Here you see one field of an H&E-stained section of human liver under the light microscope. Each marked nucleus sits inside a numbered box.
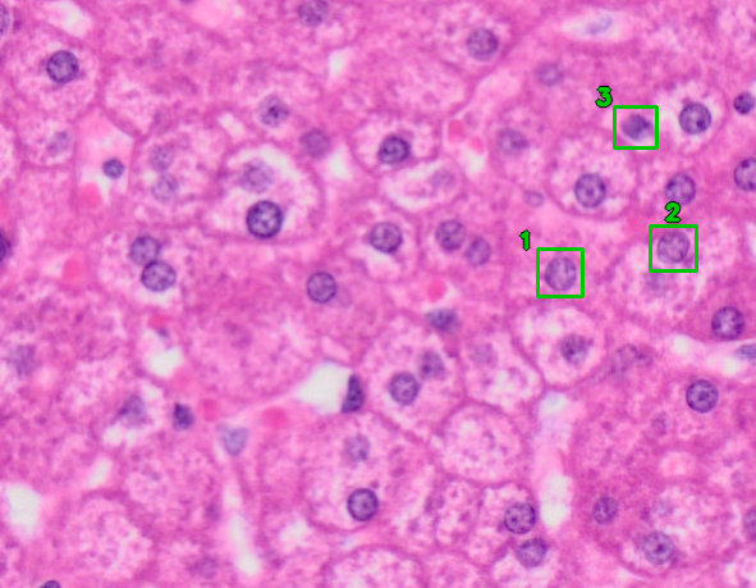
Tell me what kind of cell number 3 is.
endothelial cell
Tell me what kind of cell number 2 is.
hepatocyte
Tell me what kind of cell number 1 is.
hepatocyte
